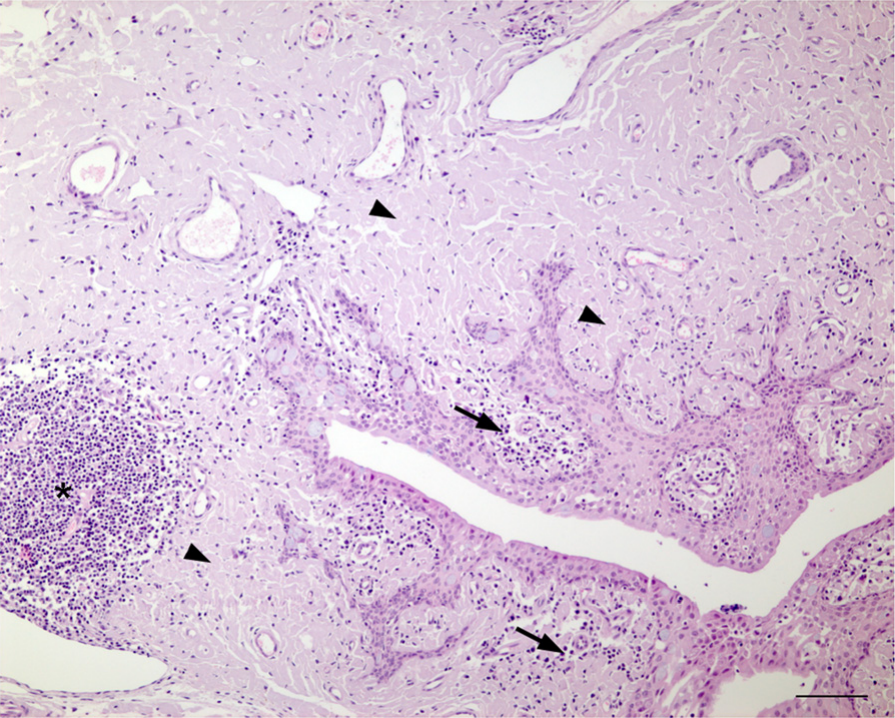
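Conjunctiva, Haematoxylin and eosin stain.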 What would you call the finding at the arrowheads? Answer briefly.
Aggregates of a hyaline, eosinophilic material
